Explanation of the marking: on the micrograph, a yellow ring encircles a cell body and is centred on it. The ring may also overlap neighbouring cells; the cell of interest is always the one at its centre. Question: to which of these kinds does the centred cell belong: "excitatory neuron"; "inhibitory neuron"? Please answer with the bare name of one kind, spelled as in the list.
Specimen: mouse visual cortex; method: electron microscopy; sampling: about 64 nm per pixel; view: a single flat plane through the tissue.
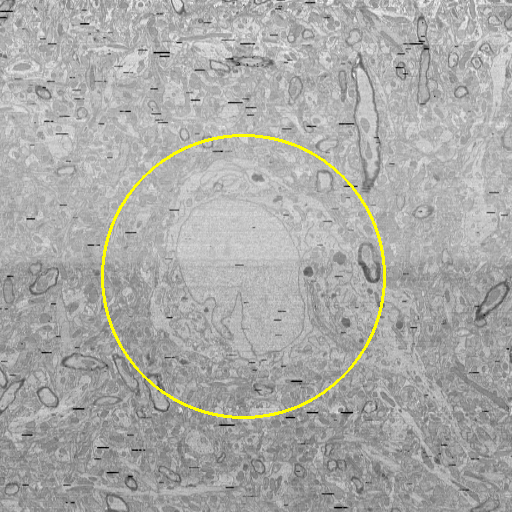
inhibitory neuron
